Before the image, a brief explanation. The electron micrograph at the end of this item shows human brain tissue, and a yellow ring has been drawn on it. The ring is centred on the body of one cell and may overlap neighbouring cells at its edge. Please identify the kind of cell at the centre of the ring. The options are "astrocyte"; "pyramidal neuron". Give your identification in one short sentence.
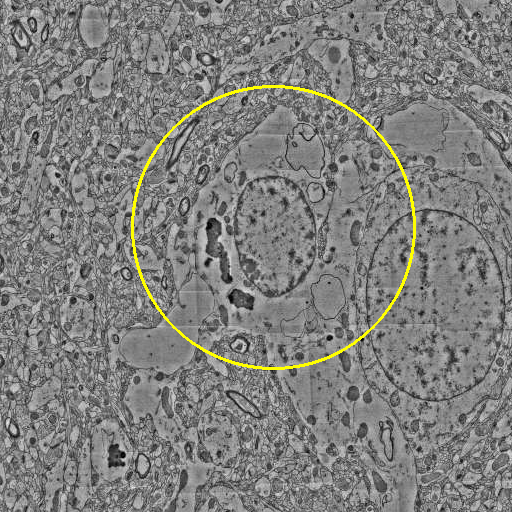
The ring has been placed around an astrocyte.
